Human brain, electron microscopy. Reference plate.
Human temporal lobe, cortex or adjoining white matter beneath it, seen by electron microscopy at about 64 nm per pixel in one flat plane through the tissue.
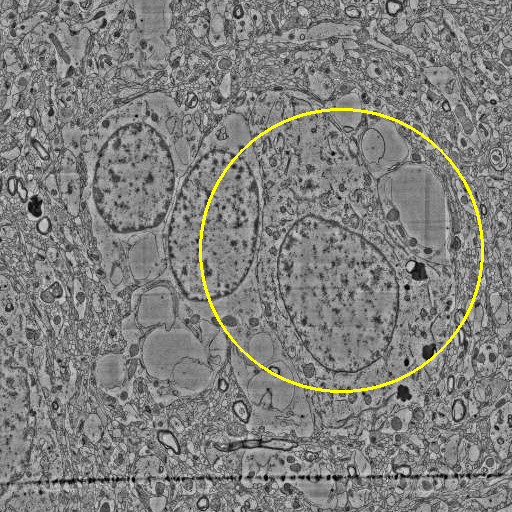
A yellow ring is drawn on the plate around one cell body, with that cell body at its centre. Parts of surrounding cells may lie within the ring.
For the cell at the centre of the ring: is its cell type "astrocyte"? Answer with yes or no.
No, its cell type is another one.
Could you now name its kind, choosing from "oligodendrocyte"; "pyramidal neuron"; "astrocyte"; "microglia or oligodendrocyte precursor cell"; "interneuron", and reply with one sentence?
The cell ringed in the picture is a pyramidal neuron.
